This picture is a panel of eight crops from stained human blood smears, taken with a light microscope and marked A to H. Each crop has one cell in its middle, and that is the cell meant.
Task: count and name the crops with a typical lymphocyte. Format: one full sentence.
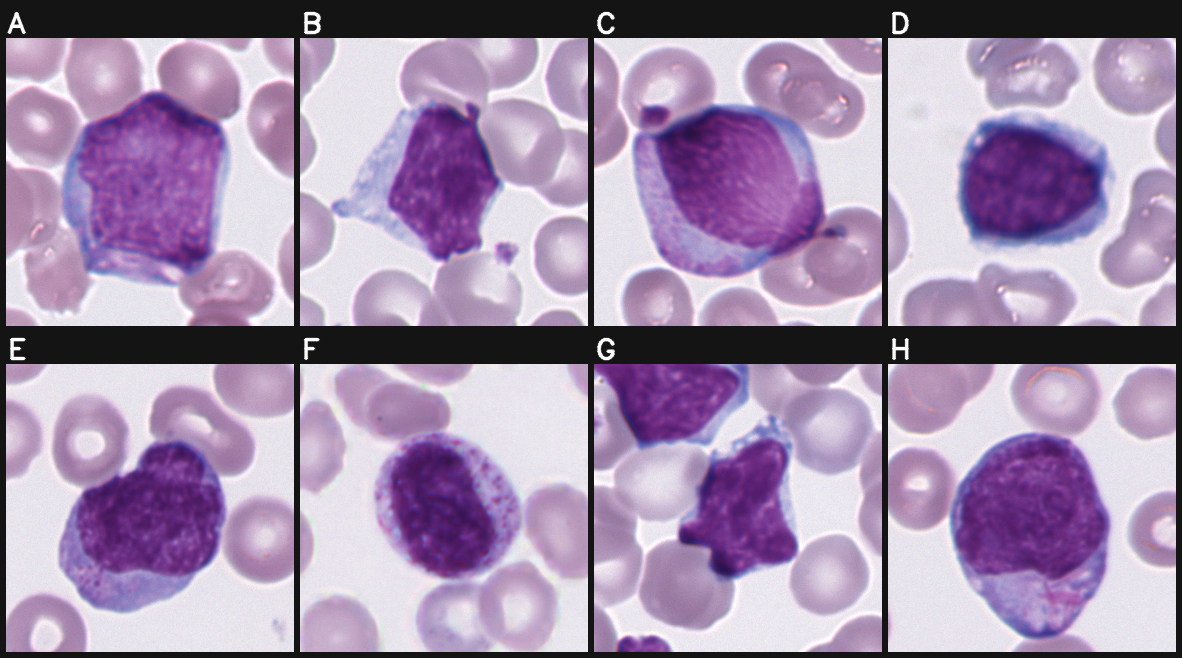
The tally is two crops with typical lymphocytes: B and G.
